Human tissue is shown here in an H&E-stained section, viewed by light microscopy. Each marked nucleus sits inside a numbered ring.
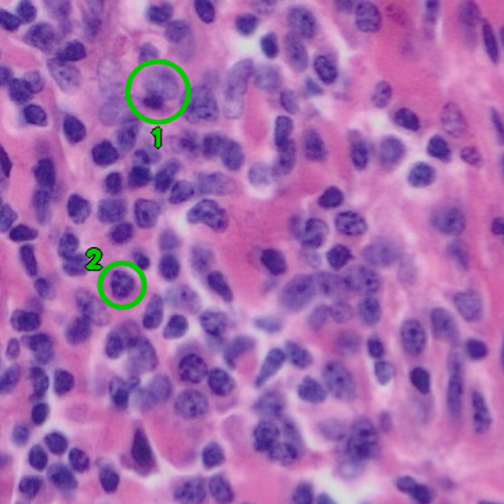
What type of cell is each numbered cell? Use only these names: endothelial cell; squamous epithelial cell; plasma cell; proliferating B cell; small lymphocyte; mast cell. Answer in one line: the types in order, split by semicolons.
endothelial cell; plasma cell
